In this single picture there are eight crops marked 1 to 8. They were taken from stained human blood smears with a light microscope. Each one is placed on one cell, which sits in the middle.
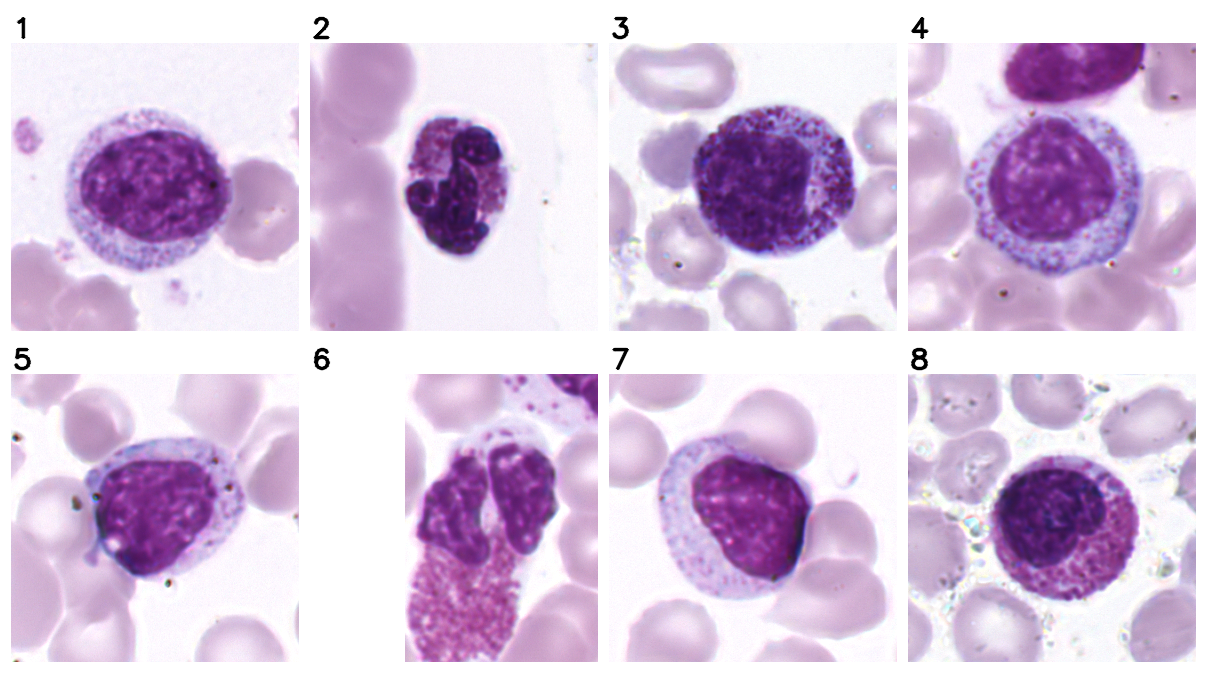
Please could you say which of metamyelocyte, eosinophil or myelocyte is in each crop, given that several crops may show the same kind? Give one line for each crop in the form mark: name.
1: myelocyte
2: eosinophil
3: myelocyte
4: myelocyte
5: metamyelocyte
6: eosinophil
7: metamyelocyte
8: eosinophil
